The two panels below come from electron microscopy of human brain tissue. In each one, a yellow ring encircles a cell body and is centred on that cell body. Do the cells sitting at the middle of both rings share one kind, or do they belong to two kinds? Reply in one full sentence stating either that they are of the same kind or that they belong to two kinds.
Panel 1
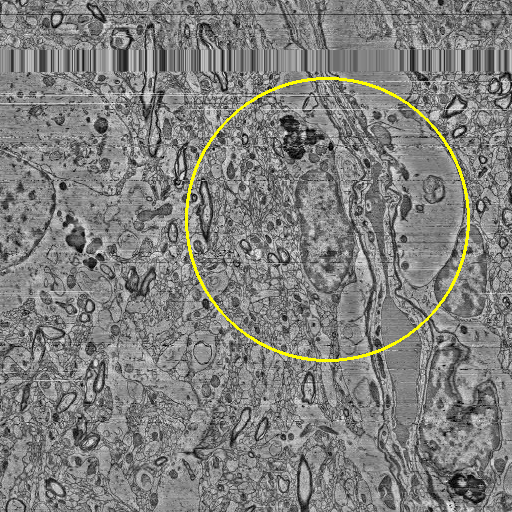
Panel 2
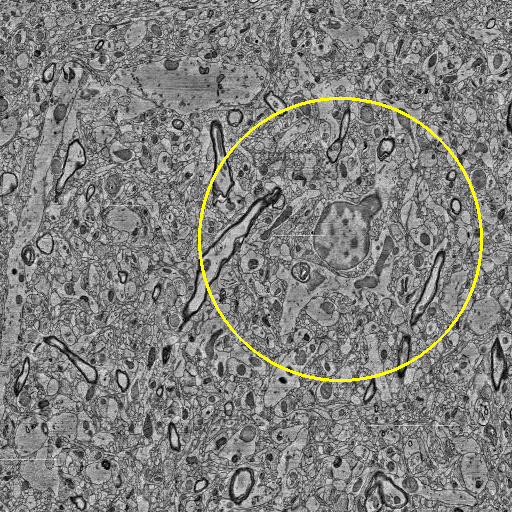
The cells at the centres of the two rings belong to two kinds.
